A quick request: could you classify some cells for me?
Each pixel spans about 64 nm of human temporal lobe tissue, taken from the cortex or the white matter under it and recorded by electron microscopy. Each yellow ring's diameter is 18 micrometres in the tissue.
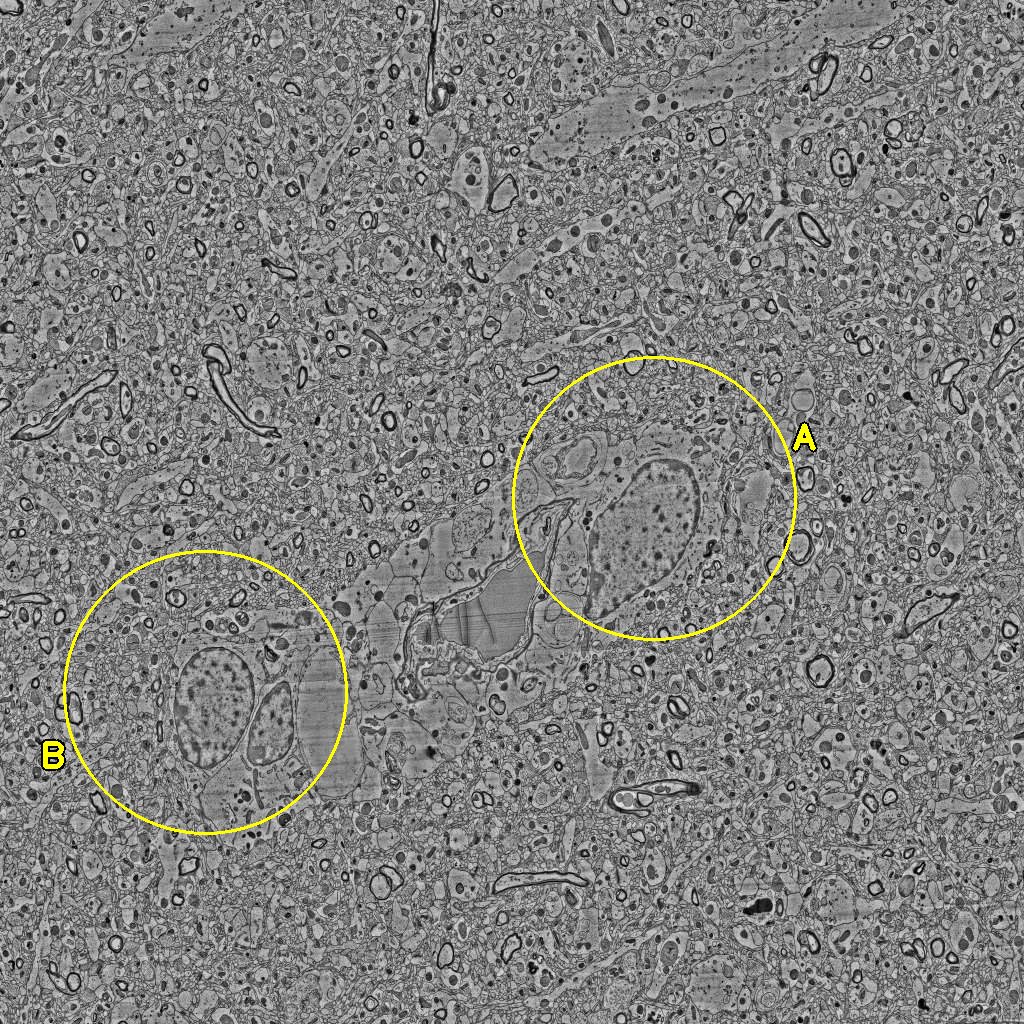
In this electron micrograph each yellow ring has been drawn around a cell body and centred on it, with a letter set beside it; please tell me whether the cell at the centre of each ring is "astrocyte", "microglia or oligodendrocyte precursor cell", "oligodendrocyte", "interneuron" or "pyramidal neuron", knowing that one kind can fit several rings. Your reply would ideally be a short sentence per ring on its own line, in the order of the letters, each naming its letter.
Ring A has a microglial cell or oligodendrocyte precursor cell at its centre.
Ring B has a microglial cell or oligodendrocyte precursor cell at its centre.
